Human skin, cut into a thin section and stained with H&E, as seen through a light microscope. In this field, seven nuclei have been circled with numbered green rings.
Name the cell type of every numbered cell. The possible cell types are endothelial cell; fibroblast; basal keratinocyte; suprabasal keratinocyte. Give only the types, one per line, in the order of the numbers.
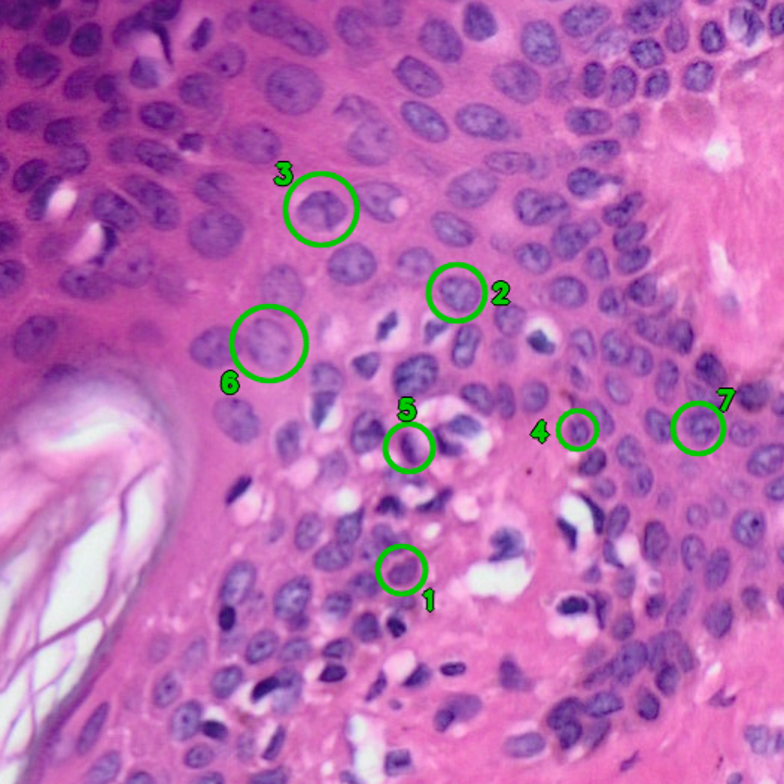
basal keratinocyte
suprabasal keratinocyte
suprabasal keratinocyte
basal keratinocyte
basal keratinocyte
suprabasal keratinocyte
basal keratinocyte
